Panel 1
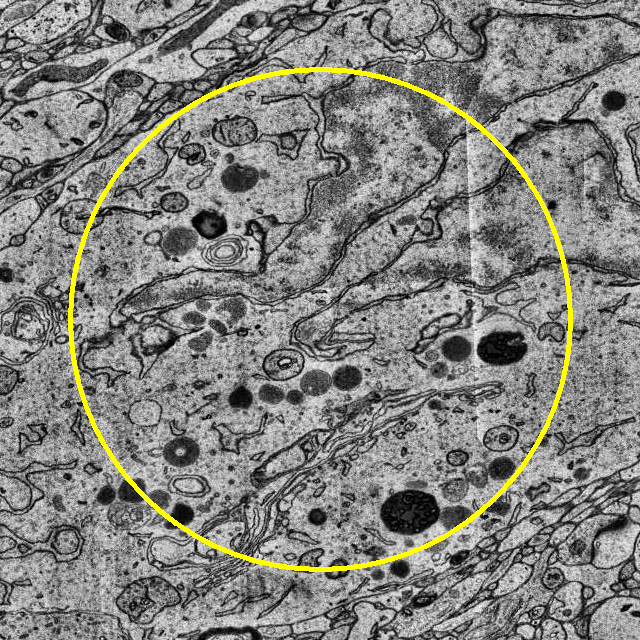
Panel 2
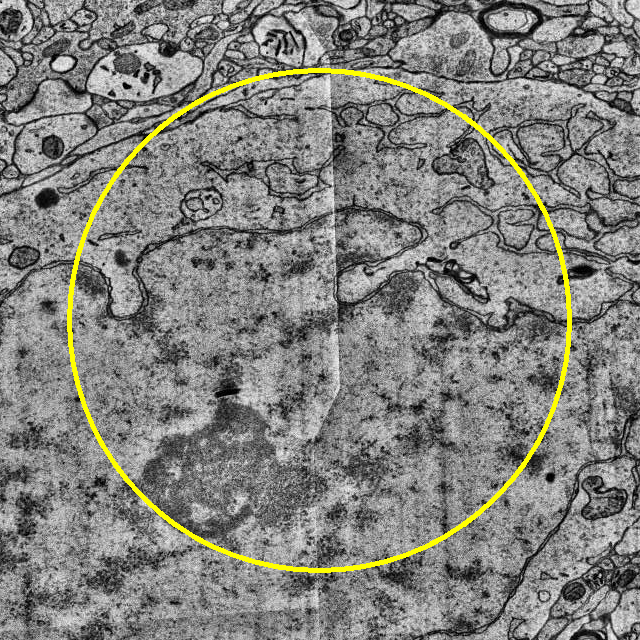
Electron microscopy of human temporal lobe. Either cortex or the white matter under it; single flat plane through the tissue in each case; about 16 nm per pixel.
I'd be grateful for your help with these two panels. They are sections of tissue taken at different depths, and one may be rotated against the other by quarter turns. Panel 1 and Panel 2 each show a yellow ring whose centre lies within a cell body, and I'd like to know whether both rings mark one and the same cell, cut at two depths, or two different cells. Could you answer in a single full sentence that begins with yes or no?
Yes, both rings identify a single, shared cell.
